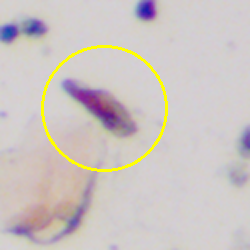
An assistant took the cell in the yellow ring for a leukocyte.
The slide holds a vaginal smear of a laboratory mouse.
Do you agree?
I disagree, it is a cornified epithelial cell.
